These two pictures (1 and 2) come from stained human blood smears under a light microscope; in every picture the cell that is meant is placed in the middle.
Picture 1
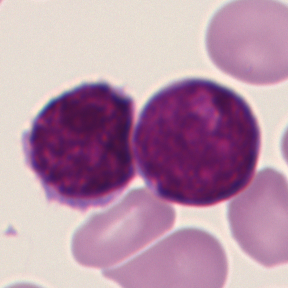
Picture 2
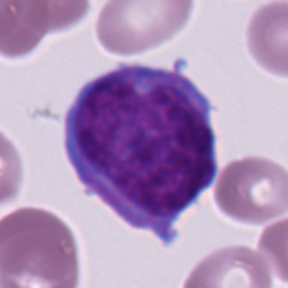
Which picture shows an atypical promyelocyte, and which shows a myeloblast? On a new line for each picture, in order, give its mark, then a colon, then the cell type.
1: myeloblast
2: atypical promyelocyte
